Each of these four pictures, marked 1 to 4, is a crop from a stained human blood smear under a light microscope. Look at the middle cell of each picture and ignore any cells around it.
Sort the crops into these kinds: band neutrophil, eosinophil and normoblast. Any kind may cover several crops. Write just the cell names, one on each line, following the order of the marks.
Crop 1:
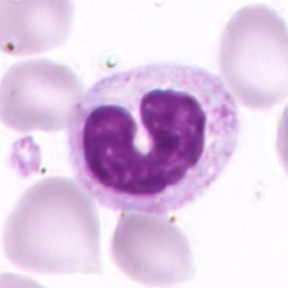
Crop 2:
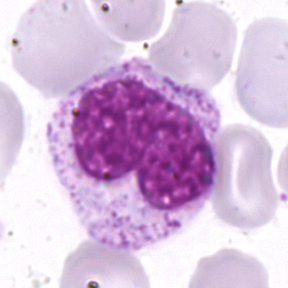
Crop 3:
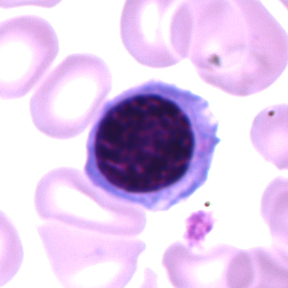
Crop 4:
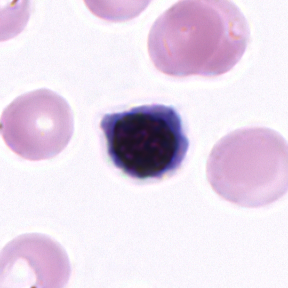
band neutrophil
band neutrophil
normoblast
normoblast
